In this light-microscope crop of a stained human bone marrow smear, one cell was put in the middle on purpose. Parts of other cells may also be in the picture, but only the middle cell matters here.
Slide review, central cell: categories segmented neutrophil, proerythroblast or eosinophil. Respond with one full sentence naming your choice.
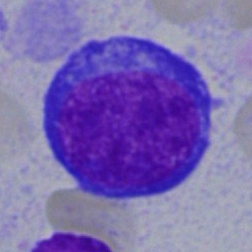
The cell of interest, located centrally, is a proerythroblast.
